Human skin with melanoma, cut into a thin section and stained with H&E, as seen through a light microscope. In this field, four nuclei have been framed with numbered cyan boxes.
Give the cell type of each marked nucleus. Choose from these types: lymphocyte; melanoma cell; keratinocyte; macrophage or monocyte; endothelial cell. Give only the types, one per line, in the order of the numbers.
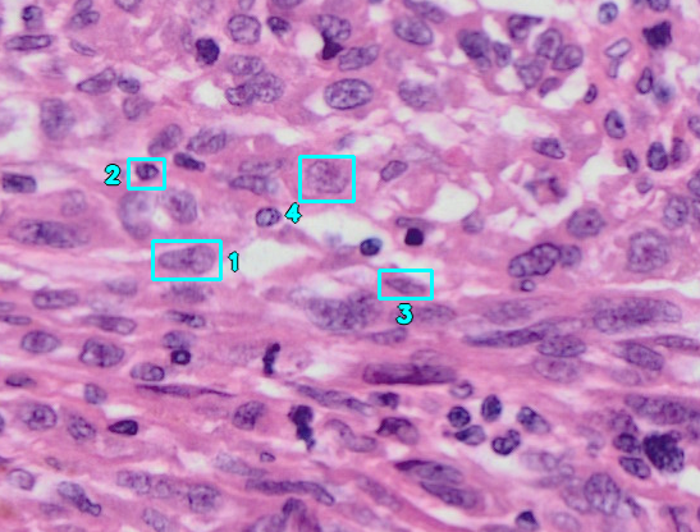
melanoma cell
lymphocyte
melanoma cell
melanoma cell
